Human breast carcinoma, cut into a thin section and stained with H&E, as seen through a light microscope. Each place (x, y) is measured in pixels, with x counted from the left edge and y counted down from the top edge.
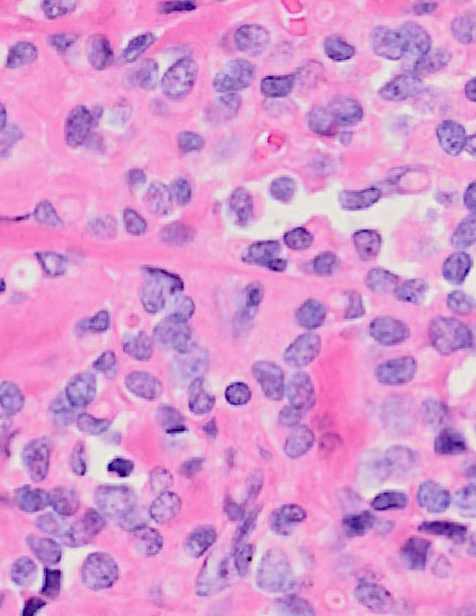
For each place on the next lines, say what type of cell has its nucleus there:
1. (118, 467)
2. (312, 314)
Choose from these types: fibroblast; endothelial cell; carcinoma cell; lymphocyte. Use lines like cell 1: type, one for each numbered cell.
cell 1: lymphocyte
cell 2: carcinoma cell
